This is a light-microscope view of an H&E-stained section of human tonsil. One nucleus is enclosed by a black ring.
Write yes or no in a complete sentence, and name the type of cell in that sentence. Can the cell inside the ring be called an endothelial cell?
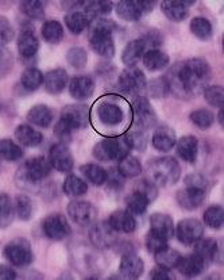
No, sorry, but the cell inside the ring is a small lymphocyte and not an endothelial cell.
